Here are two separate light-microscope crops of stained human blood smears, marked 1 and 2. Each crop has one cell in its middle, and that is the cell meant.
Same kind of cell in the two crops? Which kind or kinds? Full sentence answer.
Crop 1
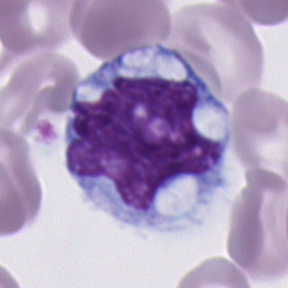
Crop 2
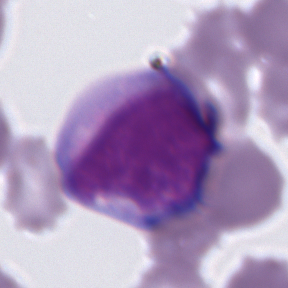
No, crop 1 has a monocyte at its center, and crop 2 has a myeloblast.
